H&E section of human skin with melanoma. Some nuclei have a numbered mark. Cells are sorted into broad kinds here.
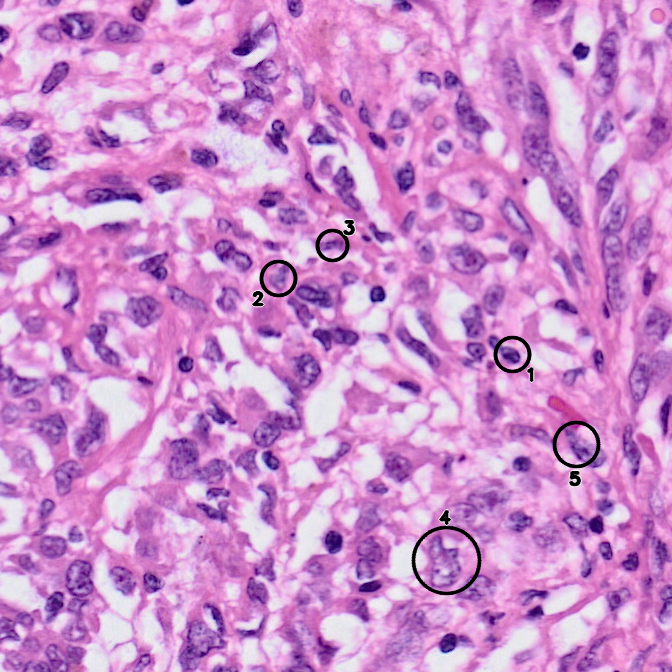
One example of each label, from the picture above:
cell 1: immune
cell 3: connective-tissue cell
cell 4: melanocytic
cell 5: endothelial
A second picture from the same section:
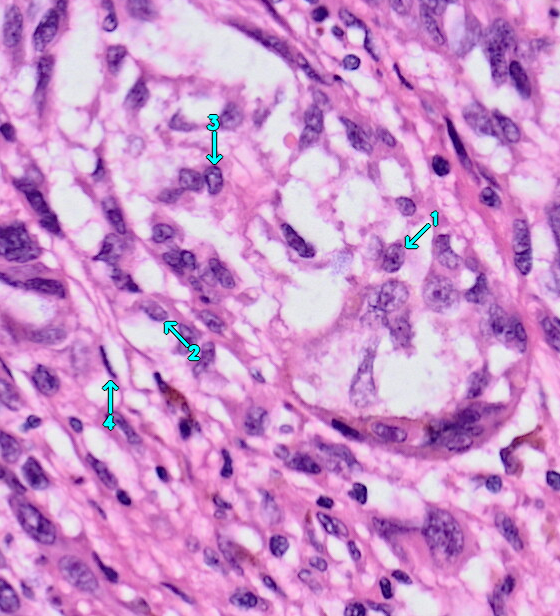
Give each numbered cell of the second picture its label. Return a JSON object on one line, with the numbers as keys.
{"1": "melanocytic", "2": "melanocytic", "3": "melanocytic", "4": "connective-tissue cell"}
